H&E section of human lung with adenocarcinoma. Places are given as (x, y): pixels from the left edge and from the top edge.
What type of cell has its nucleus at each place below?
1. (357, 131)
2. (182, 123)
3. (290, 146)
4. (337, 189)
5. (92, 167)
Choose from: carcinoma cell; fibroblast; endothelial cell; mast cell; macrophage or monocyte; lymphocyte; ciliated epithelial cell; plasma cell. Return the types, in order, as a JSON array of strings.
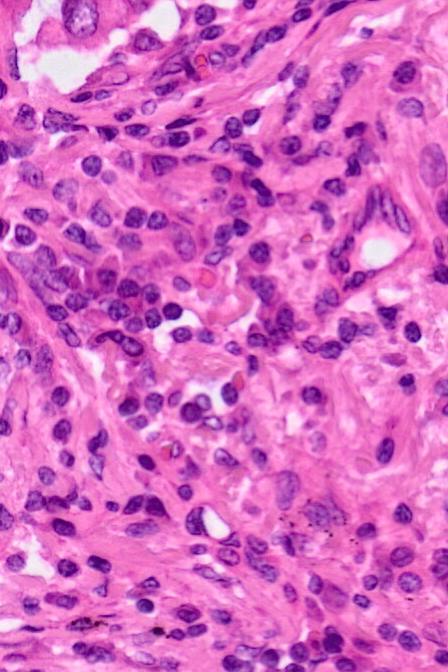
["plasma cell", "lymphocyte", "plasma cell", "plasma cell", "lymphocyte"]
